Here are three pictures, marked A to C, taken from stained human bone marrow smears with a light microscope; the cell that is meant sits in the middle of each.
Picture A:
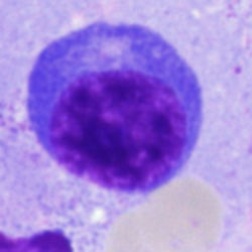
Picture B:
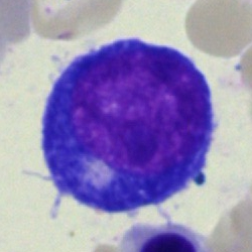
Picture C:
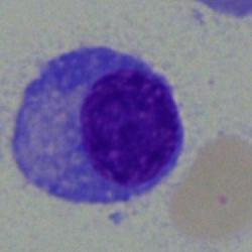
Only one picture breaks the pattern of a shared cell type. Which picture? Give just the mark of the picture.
B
